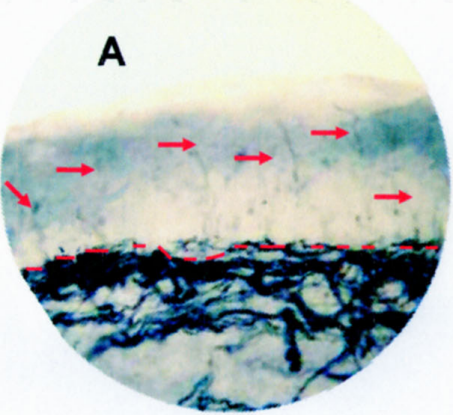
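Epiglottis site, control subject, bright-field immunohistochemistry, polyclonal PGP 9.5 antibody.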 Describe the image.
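This is a section of mucosa showing a pale epithelium at the top and lamina propria below. The lamina propria contains a dense network of thick, dark, wavy nerve fiber bundles running just beneath the junction with the epithelium. From there, fine thin nerve fibers rise singly through the epithelium toward the surface.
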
